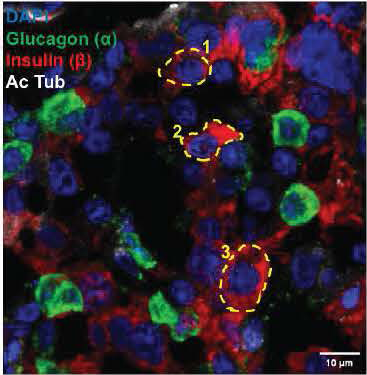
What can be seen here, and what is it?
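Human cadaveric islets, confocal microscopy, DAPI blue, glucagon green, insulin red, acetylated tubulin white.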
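The cells are packed closely, each with a round blue nucleus. Many of them have red cytoplasm forming a rim or patches around the nucleus. Several cells are filled with bright green, standing out as rounded cells scattered among the red ones. Unlike a strongly white-laced cluster, the white fibrous signal is faint and sparse here, so the cytoplasm of the red cells looks mostly red and dark. Three red cells are traced with yellow dashed lines and numbered, one near the top, one in the middle and one lower down.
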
